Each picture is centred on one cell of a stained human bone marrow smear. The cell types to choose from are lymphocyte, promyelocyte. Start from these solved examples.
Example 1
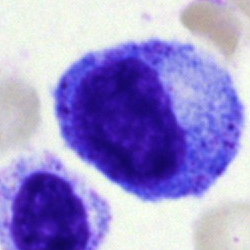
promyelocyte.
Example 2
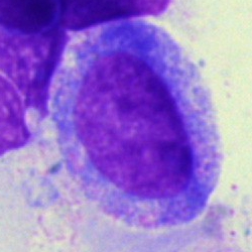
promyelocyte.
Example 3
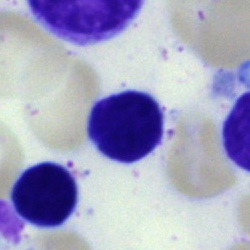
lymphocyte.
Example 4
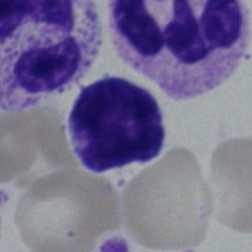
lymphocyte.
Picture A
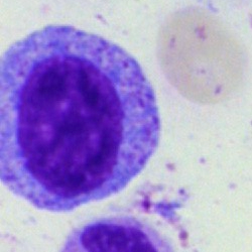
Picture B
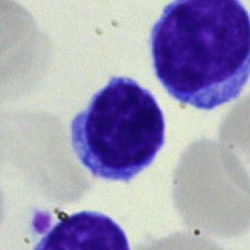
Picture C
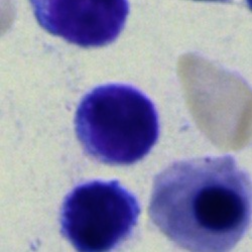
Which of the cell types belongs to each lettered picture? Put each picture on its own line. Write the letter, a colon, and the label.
A: promyelocyte.
B: lymphocyte.
C: lymphocyte.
